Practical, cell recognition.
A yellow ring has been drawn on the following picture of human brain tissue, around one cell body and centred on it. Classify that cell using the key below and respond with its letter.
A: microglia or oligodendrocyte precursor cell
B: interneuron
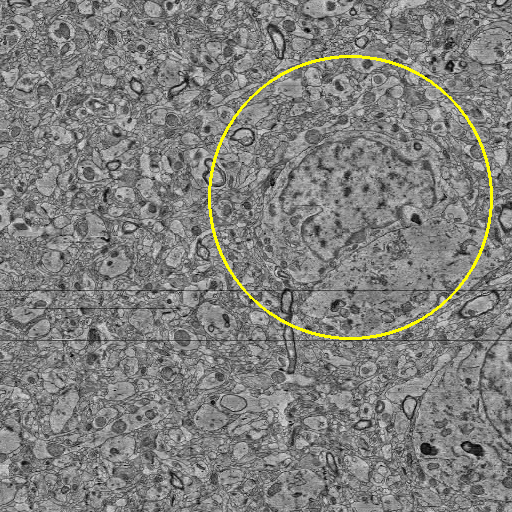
B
